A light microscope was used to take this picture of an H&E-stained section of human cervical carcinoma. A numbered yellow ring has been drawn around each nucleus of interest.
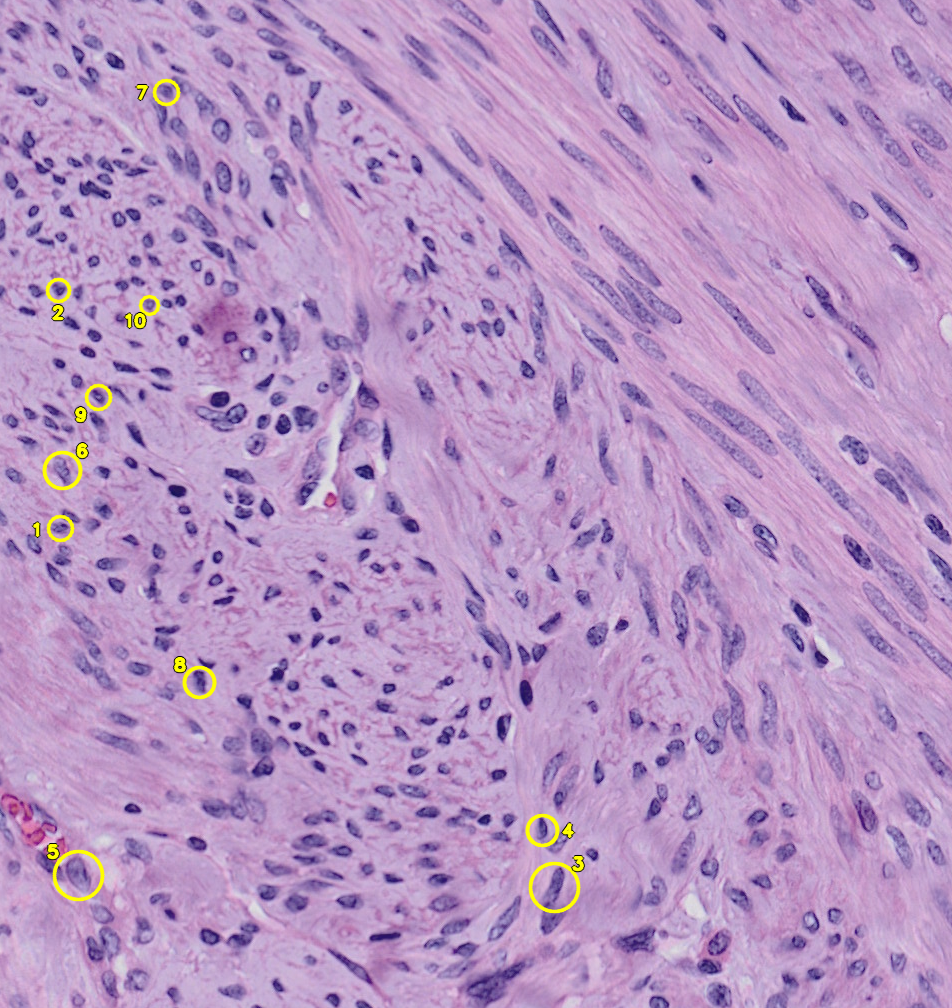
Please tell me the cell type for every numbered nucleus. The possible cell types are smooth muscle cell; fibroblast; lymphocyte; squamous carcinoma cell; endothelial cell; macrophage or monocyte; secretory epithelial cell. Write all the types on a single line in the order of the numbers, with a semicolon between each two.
smooth muscle cell; smooth muscle cell; fibroblast; fibroblast; endothelial cell; smooth muscle cell; smooth muscle cell; fibroblast; smooth muscle cell; smooth muscle cell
